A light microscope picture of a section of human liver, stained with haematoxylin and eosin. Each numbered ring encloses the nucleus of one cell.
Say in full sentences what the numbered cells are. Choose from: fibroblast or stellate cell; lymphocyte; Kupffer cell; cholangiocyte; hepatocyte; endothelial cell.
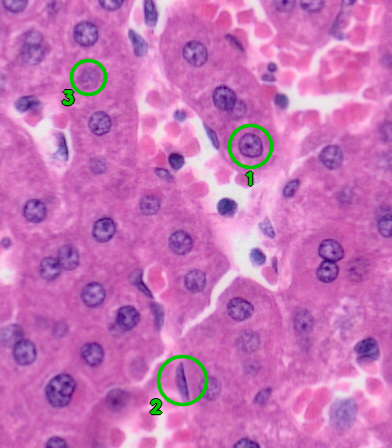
Cells 1 and 3 are hepatocytes. Cell 2 is a fibroblast or stellate cell.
